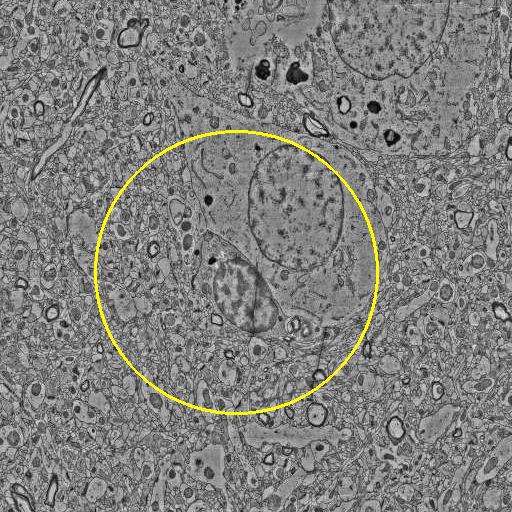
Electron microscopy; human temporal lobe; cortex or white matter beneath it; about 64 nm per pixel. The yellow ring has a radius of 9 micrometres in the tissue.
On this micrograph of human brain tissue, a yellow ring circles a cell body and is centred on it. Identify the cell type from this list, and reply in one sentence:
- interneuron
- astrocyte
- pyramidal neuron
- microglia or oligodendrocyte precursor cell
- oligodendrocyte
The cell at the centre is an oligodendrocyte.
